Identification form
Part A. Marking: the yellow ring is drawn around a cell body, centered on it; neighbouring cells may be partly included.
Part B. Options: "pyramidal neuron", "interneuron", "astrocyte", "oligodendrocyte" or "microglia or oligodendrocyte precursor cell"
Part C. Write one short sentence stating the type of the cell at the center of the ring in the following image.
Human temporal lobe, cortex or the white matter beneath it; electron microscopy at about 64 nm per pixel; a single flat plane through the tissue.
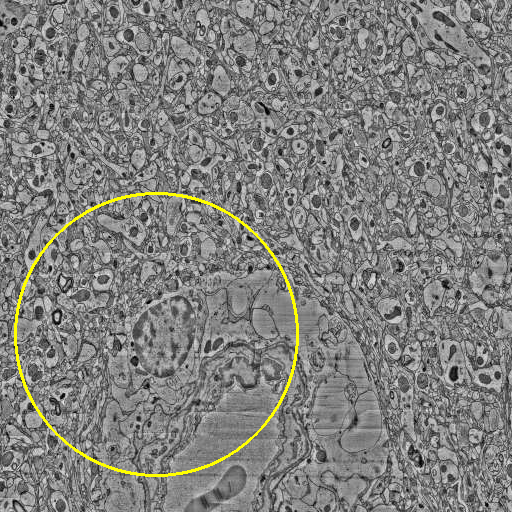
The center of the ring holds a microglial cell or oligodendrocyte precursor cell.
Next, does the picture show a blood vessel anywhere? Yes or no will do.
Yes, one is visible.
